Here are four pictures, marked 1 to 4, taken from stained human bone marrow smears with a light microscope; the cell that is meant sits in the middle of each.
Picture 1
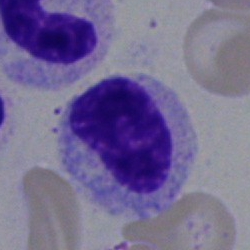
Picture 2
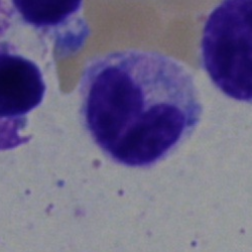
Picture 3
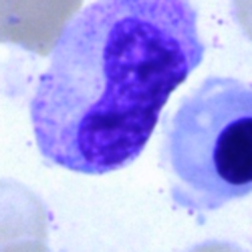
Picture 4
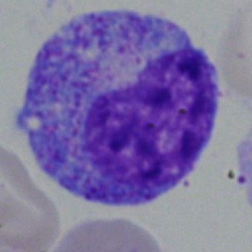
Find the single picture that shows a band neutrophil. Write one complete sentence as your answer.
The cell in picture 3 is the band neutrophil.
